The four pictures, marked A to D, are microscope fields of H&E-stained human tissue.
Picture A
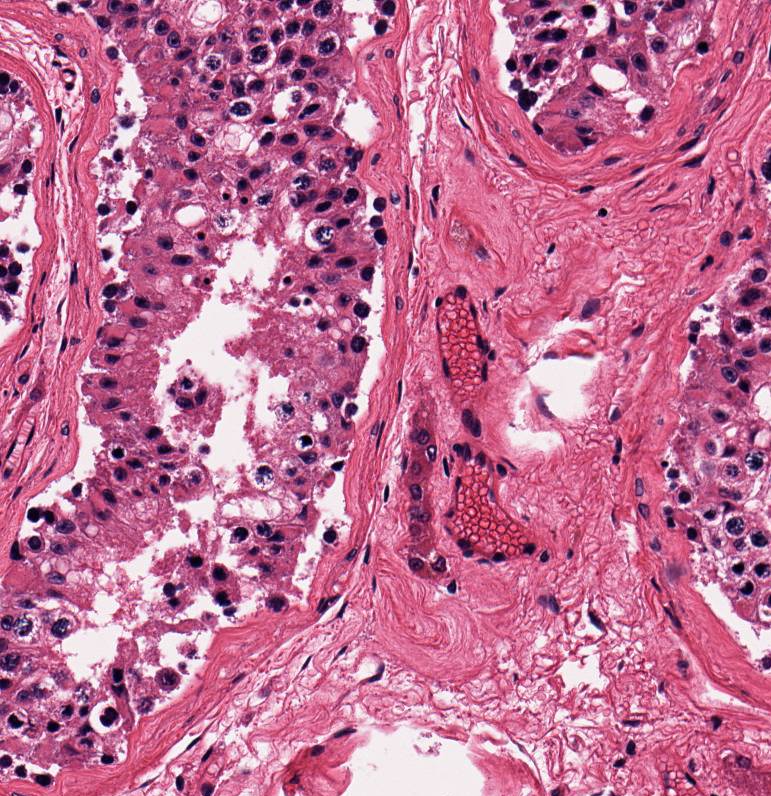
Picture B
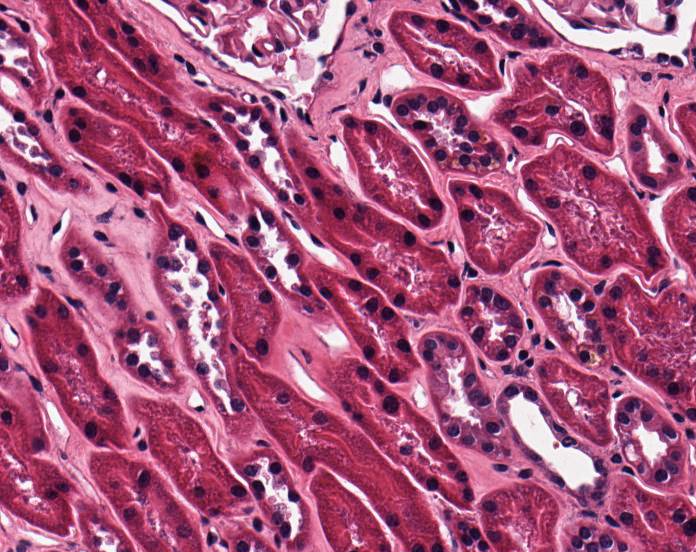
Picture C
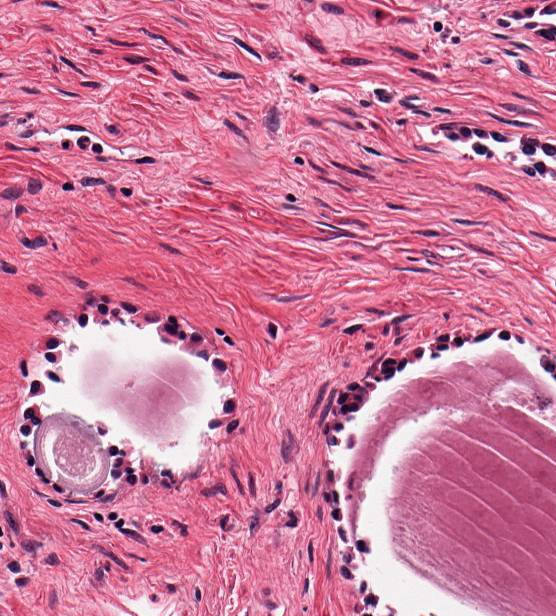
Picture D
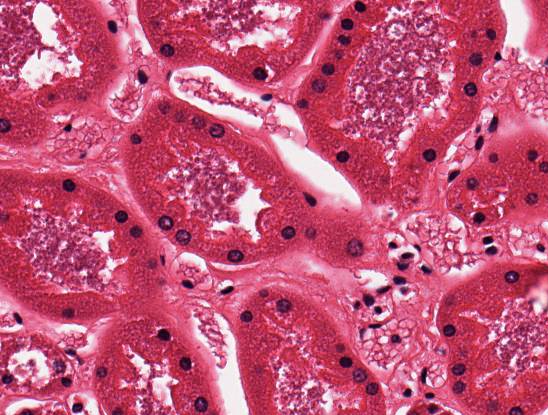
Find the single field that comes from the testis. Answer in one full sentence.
Picture A comes from the testis.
